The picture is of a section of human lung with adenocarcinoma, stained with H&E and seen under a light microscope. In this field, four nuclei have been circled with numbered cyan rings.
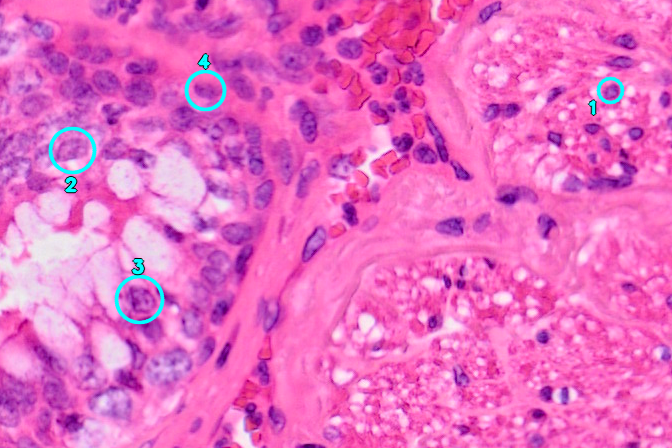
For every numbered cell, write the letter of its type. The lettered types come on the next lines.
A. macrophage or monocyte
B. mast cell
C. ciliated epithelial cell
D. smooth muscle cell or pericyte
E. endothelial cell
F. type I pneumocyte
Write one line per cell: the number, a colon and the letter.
1: D
2: C
3: C
4: C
